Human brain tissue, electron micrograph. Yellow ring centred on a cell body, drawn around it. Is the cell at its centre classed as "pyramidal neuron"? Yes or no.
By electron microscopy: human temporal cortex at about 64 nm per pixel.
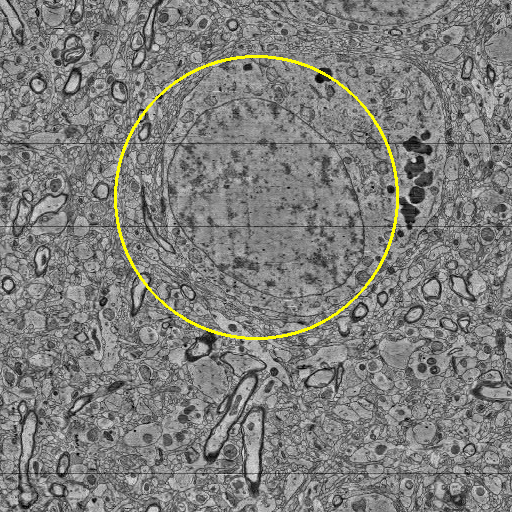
Yes, it is classed as that.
